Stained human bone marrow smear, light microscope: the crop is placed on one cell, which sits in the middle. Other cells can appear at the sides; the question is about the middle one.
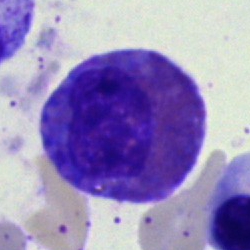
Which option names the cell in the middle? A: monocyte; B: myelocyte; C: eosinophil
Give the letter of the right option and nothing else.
C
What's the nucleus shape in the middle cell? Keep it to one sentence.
Its nucleus is compact and single, with a round, oval or kidney-shaped form.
